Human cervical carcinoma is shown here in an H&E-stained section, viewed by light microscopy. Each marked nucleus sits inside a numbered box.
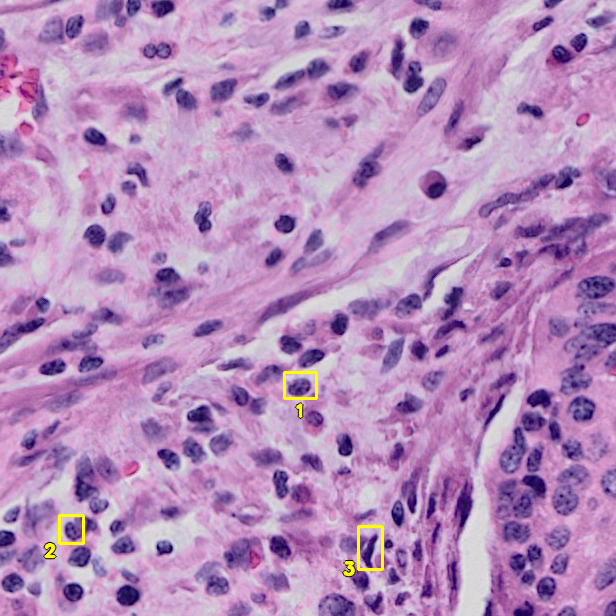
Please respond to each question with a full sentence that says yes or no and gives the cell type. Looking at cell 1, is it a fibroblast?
No, number 1 marks a lymphocyte rather than a fibroblast.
